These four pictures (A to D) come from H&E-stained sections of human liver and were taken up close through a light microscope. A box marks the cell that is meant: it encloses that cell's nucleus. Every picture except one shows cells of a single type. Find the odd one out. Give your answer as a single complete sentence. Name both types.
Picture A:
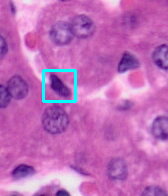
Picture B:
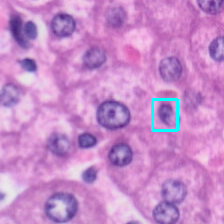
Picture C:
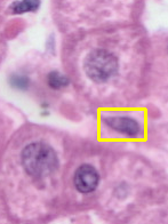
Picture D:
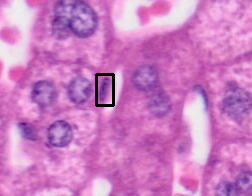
All pictures except A show Kupffer cells; picture A shows a “fibroblast or stellate cell”.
